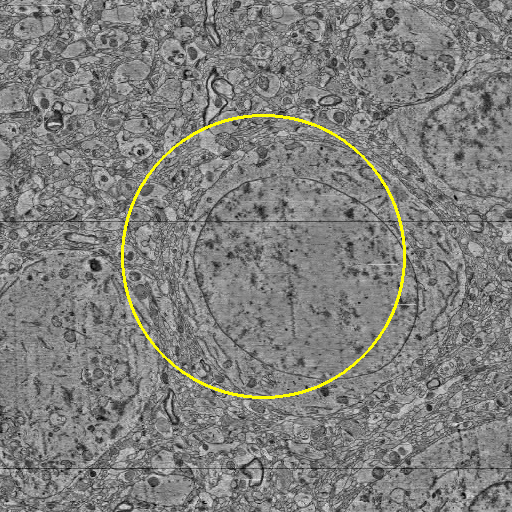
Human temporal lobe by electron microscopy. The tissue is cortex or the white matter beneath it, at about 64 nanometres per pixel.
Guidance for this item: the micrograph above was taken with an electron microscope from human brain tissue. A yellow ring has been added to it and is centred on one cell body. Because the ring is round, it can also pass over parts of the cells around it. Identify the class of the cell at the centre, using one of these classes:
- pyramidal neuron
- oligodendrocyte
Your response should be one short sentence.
The ring surrounds the body of a pyramidal neuron.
